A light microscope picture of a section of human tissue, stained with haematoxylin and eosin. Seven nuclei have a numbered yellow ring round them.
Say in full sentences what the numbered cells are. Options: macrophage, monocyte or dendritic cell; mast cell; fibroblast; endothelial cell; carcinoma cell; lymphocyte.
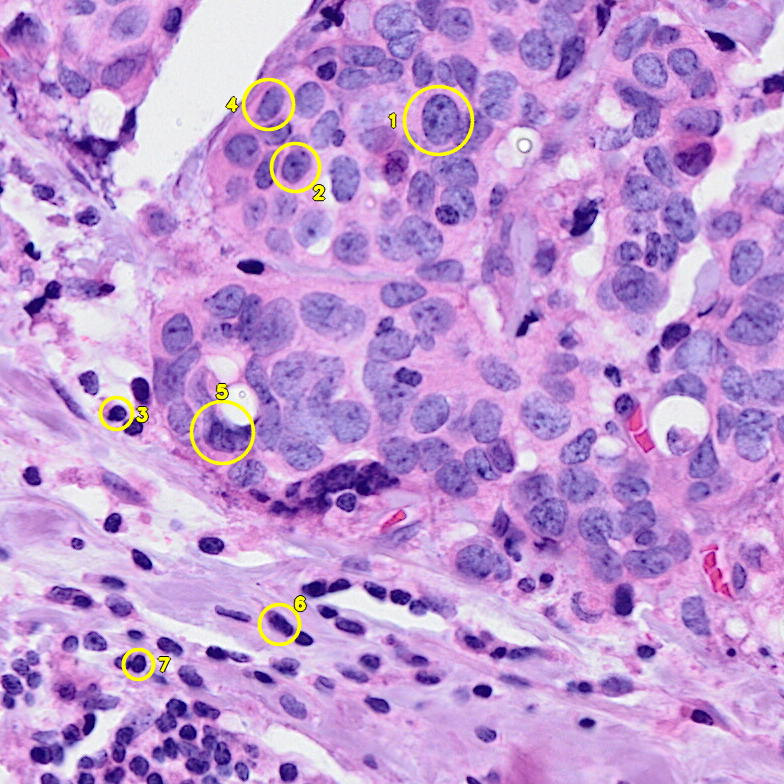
Cell 1 is a carcinoma cell, cell 2 is a carcinoma cell, cell 3 is a lymphocyte, cell 4 is a carcinoma cell, cell 5 is a carcinoma cell, cell 6 is a lymphocyte and cell 7 is a lymphocyte.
